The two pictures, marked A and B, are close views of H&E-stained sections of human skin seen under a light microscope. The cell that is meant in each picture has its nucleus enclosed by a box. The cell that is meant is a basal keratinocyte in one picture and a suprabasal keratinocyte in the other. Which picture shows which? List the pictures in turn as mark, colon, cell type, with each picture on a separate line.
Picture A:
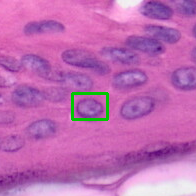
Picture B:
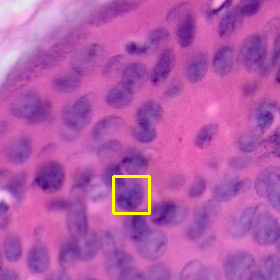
A: suprabasal keratinocyte
B: basal keratinocyte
